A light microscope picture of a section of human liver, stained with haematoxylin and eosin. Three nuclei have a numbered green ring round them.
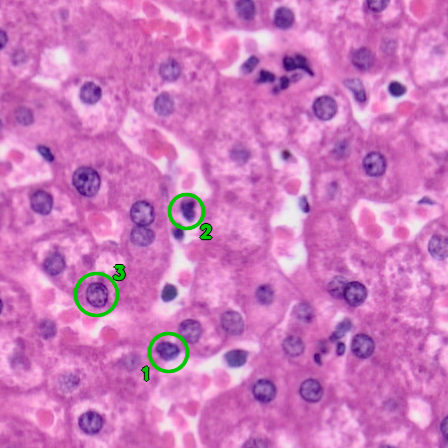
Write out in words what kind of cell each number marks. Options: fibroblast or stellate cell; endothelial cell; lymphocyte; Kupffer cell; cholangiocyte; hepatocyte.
Cell 1 is a fibroblast or stellate cell, cell 2 is a lymphocyte and cell 3 is a hepatocyte.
